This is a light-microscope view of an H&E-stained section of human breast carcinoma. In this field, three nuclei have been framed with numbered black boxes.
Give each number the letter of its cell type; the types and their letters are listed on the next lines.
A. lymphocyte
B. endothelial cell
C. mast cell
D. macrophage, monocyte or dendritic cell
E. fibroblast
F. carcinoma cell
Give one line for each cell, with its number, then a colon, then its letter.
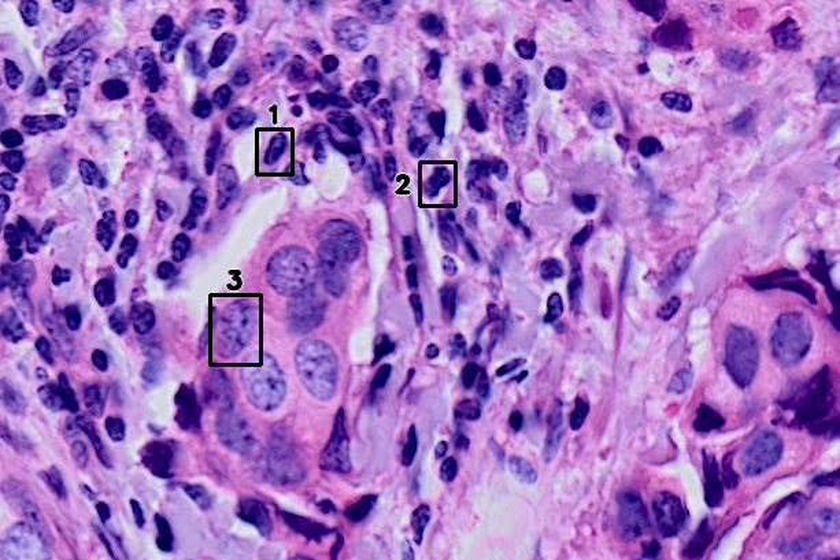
1: A
2: A
3: F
